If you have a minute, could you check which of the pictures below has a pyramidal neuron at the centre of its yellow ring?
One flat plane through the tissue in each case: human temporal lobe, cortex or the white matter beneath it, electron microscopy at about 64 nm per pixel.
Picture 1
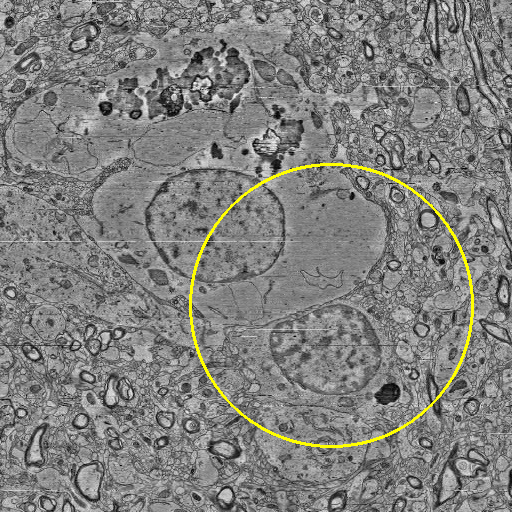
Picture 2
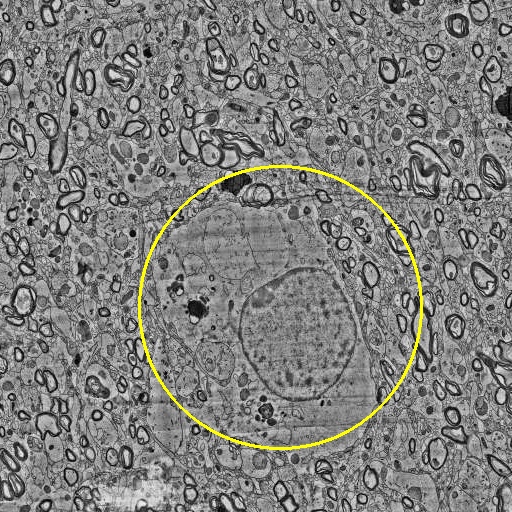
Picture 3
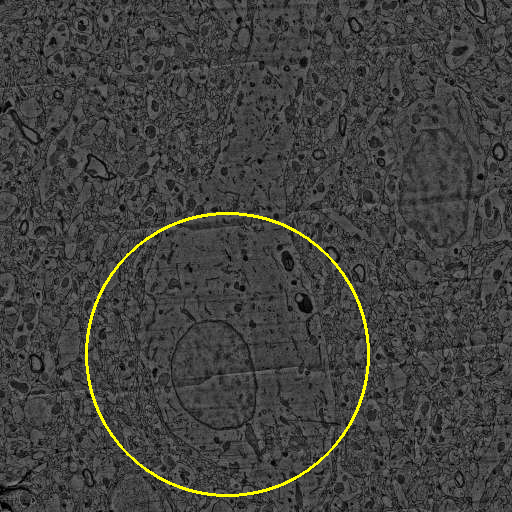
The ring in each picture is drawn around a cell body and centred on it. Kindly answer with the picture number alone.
3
